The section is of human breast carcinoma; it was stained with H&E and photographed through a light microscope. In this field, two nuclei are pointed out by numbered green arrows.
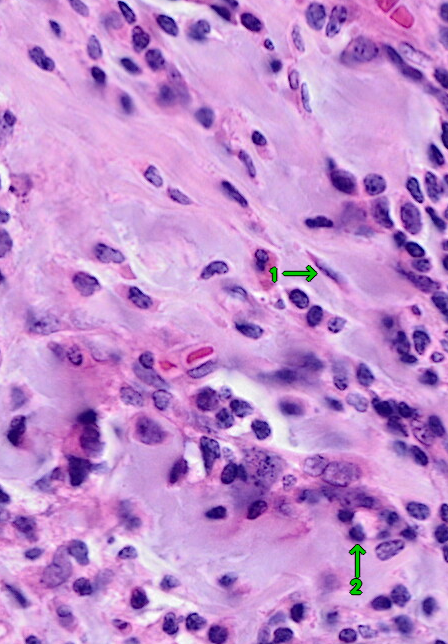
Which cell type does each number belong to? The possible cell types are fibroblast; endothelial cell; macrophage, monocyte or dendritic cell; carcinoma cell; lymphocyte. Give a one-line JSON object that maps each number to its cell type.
{"1": "fibroblast", "2": "lymphocyte"}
